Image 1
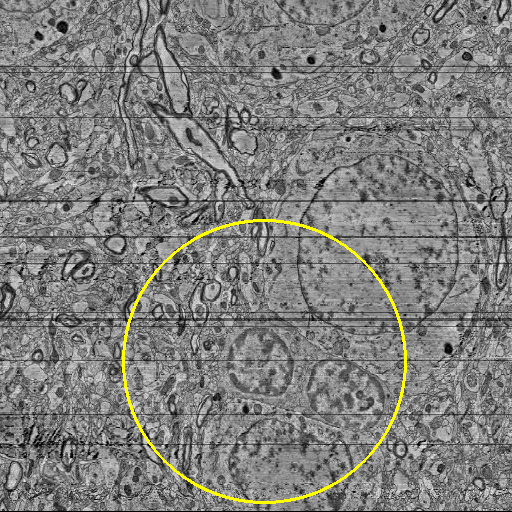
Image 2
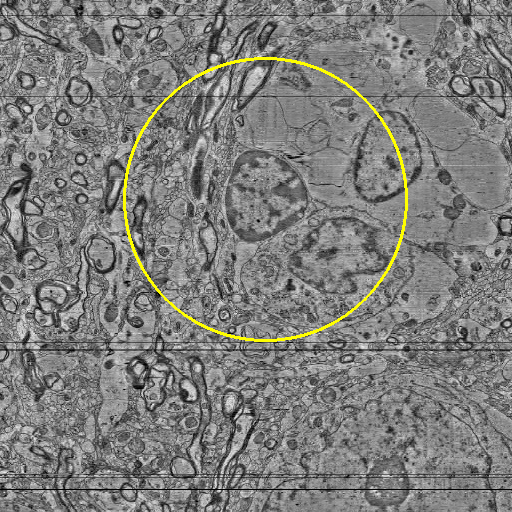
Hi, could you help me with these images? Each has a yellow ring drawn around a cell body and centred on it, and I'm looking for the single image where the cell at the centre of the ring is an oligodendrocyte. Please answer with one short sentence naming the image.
It is Image 1 that has it at the centre of its ring.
